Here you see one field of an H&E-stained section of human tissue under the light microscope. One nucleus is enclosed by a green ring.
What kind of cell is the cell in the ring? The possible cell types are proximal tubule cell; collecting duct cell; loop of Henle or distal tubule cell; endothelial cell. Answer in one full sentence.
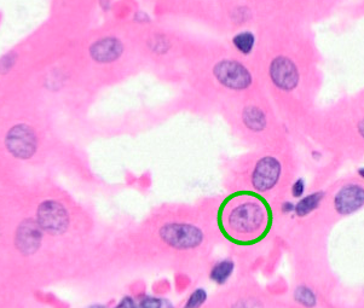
As far as its identity is concerned, the cell in the ring is a proximal tubule cell.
